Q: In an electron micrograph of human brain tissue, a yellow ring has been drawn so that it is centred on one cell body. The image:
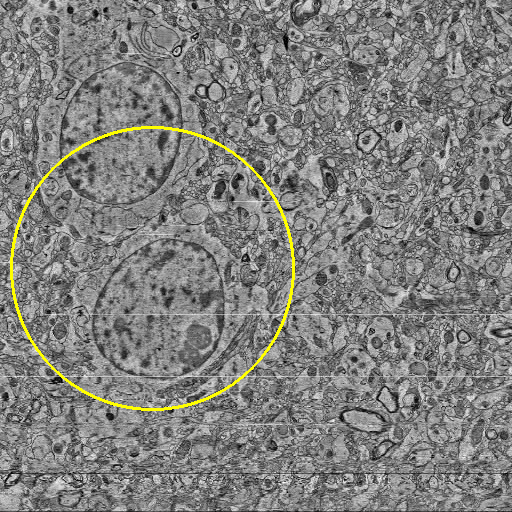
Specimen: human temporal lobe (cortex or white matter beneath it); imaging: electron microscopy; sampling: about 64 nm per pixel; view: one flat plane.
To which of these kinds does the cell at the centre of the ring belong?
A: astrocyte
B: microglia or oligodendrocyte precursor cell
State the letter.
A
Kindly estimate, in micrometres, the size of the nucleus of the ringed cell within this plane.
In this plane the nucleus is about 10 micrometres by 8.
